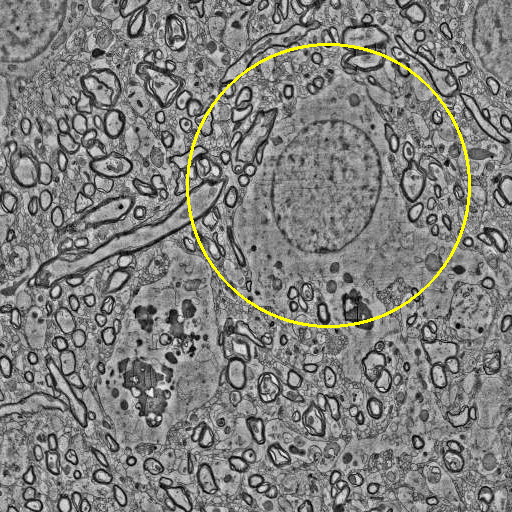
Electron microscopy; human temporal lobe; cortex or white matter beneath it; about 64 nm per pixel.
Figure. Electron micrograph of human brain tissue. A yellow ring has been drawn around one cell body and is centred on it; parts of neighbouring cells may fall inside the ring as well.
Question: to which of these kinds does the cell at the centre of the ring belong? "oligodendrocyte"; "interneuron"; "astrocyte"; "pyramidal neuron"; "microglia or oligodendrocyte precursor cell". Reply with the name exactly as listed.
astrocyte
